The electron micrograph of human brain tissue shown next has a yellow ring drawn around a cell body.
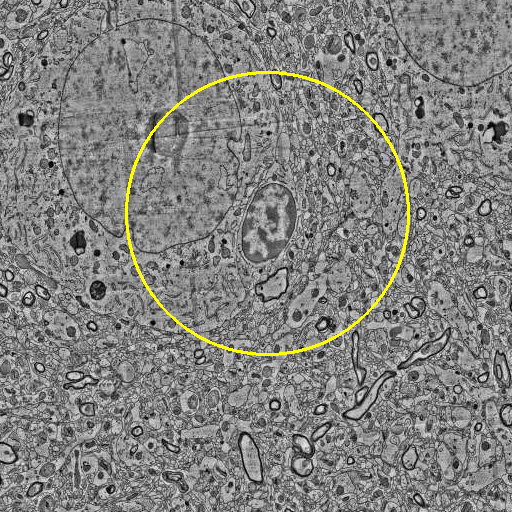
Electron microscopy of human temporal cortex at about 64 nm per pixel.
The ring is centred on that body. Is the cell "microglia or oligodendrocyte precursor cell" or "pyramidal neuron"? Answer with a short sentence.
The cell in question is a microglial cell or oligodendrocyte precursor cell.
